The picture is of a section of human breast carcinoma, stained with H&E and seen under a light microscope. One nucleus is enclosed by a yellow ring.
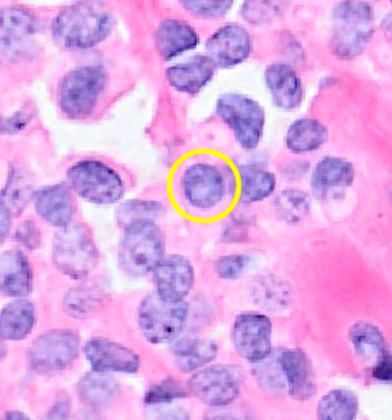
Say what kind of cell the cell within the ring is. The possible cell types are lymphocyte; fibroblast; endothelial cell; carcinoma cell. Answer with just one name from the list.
carcinoma cell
